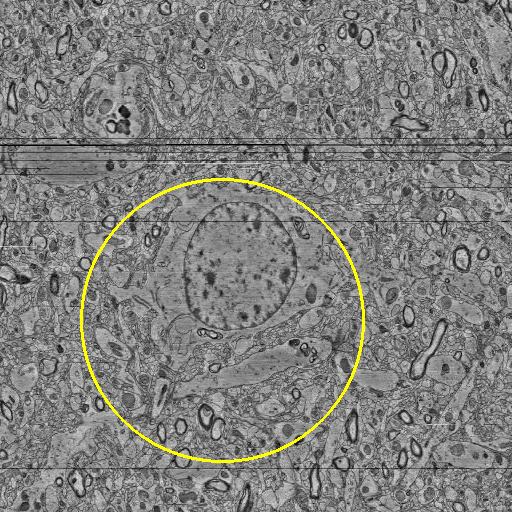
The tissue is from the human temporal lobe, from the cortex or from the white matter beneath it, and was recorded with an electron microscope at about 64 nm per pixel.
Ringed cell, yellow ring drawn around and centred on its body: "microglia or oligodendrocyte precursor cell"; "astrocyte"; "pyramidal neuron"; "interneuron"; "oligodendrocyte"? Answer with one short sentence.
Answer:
This ringed cell is an astrocyte.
